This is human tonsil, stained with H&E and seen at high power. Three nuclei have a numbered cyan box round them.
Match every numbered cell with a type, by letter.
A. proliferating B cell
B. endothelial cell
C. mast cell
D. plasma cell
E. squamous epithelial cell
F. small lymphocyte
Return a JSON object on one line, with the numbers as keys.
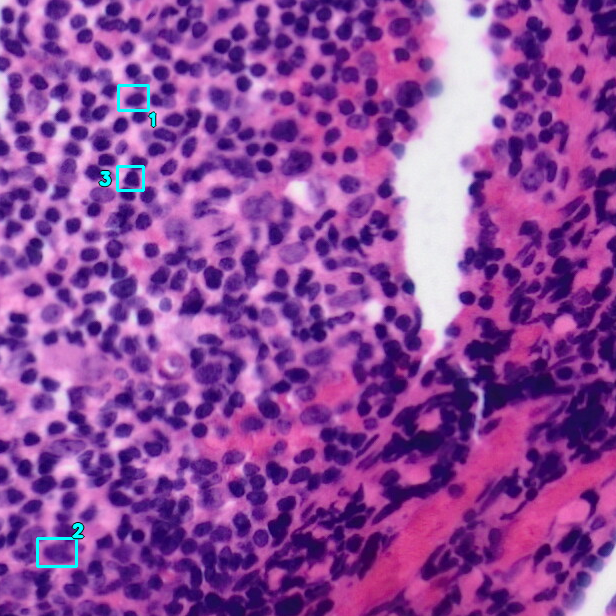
{"1": "F", "2": "A", "3": "F"}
